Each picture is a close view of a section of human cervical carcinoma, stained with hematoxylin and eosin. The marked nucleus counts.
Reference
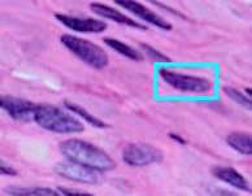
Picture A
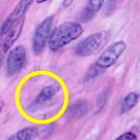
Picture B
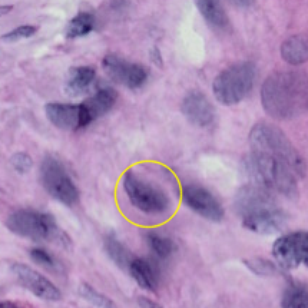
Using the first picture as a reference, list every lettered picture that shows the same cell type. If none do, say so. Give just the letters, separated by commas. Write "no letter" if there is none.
A, B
